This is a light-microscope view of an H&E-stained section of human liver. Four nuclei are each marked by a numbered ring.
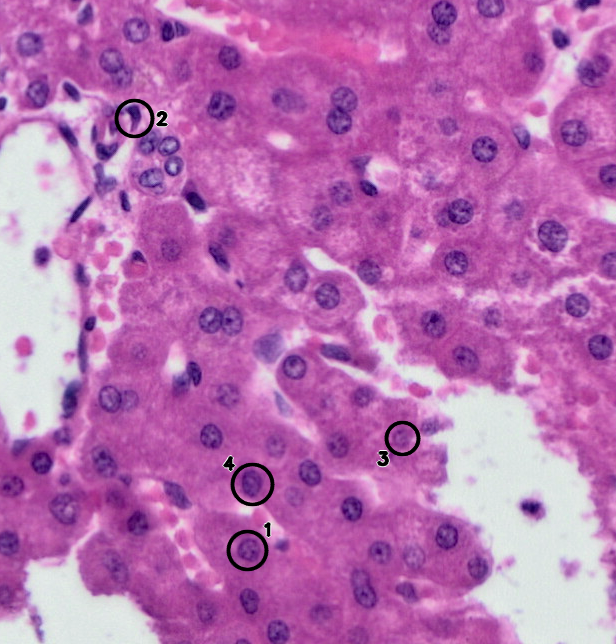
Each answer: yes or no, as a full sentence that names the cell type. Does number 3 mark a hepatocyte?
Yes, cell number 3 is identified here as a hepatocyte.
